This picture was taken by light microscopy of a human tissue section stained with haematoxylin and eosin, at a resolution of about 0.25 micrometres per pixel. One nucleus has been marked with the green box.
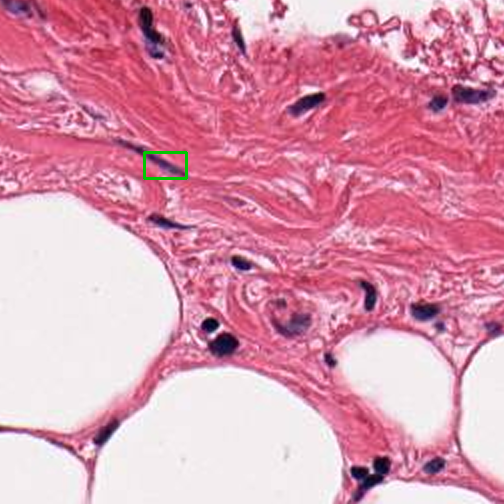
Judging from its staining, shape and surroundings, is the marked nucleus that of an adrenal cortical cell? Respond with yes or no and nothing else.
no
